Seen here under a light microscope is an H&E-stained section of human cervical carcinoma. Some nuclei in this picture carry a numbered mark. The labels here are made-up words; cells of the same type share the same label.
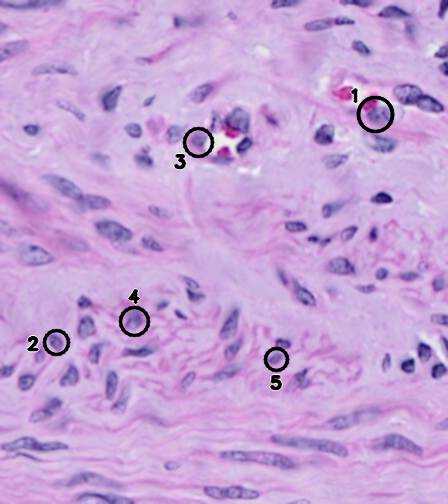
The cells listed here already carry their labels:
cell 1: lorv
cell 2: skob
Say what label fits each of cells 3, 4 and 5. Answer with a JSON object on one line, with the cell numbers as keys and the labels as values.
{"3": "lorv", "4": "skob", "5": "skob"}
